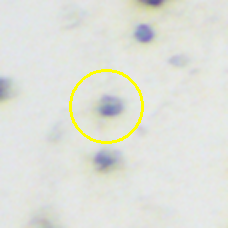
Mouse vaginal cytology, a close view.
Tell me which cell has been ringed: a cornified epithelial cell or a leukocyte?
It is a leukocyte.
